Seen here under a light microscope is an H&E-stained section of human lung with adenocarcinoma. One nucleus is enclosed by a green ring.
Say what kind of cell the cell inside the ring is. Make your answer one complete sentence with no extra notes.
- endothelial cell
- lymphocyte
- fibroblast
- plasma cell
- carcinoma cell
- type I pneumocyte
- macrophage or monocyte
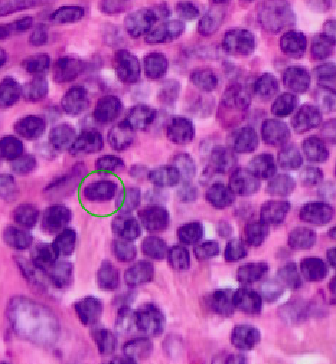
What the cell inside the ring represents is a lymphocyte.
